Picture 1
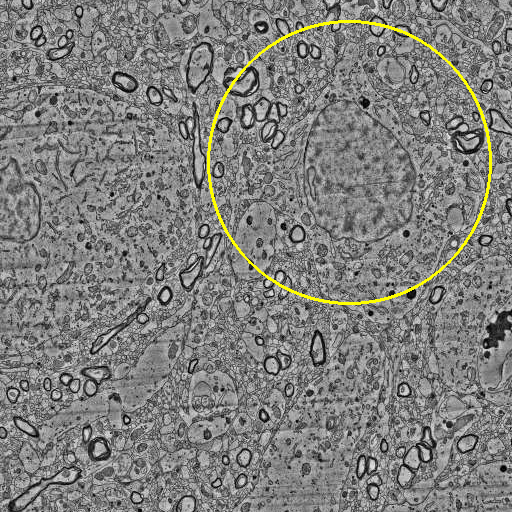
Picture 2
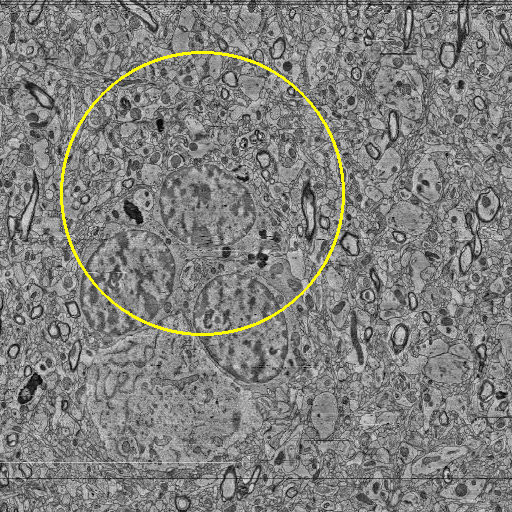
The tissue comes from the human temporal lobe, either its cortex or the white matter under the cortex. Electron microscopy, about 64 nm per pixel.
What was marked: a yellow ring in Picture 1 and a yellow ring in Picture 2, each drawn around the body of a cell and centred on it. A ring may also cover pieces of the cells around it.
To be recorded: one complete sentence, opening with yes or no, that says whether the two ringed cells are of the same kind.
No, the two ringed cells are of two kinds.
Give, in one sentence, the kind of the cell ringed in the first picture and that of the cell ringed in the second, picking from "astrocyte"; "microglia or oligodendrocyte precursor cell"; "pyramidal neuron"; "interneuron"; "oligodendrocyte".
For the first picture it is an interneuron; for the second, an oligodendrocyte.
